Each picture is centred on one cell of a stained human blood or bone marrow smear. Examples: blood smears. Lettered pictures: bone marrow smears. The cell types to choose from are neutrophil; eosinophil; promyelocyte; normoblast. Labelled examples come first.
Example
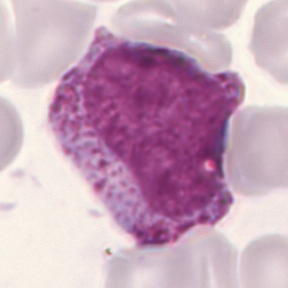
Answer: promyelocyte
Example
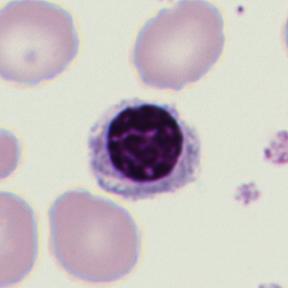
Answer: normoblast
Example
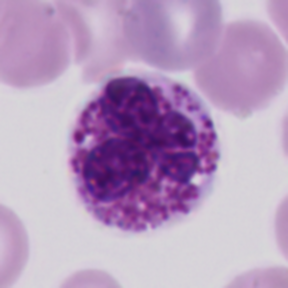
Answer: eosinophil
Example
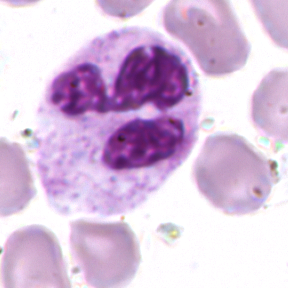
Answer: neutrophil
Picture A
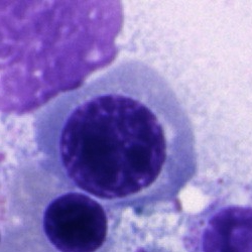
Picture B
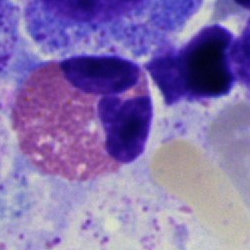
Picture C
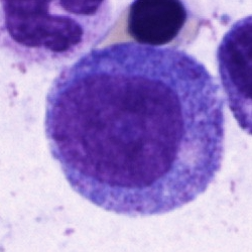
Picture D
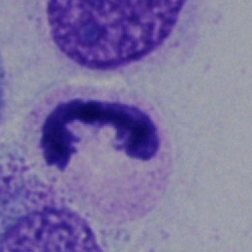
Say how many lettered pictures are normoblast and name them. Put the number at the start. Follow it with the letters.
1, namely A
